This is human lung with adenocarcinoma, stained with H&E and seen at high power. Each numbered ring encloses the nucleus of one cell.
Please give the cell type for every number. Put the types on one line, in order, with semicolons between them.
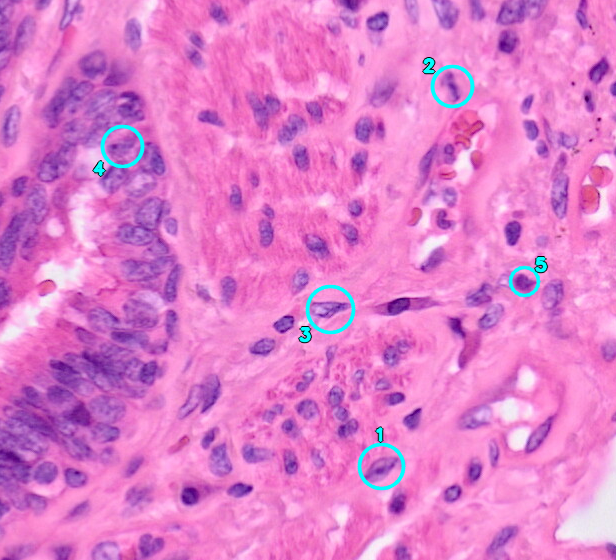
fibroblast; fibroblast; fibroblast; ciliated epithelial cell; plasma cell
